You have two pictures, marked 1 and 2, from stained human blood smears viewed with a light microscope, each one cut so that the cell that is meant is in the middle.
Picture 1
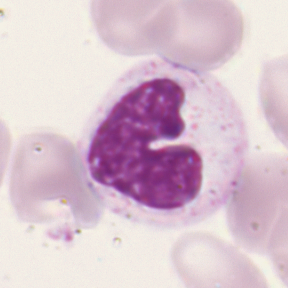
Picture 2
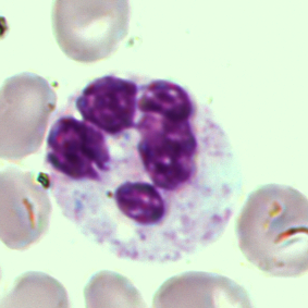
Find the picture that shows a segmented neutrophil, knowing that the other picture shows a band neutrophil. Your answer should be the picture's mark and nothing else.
2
